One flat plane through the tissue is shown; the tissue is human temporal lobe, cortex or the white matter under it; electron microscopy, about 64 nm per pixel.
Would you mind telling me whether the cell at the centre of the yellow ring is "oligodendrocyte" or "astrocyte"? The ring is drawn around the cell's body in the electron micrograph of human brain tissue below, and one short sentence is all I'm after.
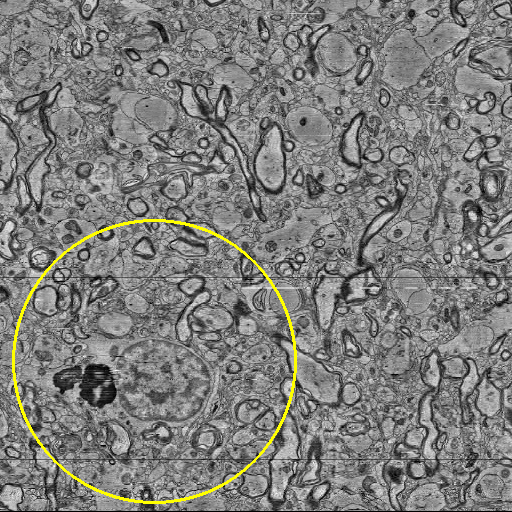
In the centre of the ring lies an oligodendrocyte.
